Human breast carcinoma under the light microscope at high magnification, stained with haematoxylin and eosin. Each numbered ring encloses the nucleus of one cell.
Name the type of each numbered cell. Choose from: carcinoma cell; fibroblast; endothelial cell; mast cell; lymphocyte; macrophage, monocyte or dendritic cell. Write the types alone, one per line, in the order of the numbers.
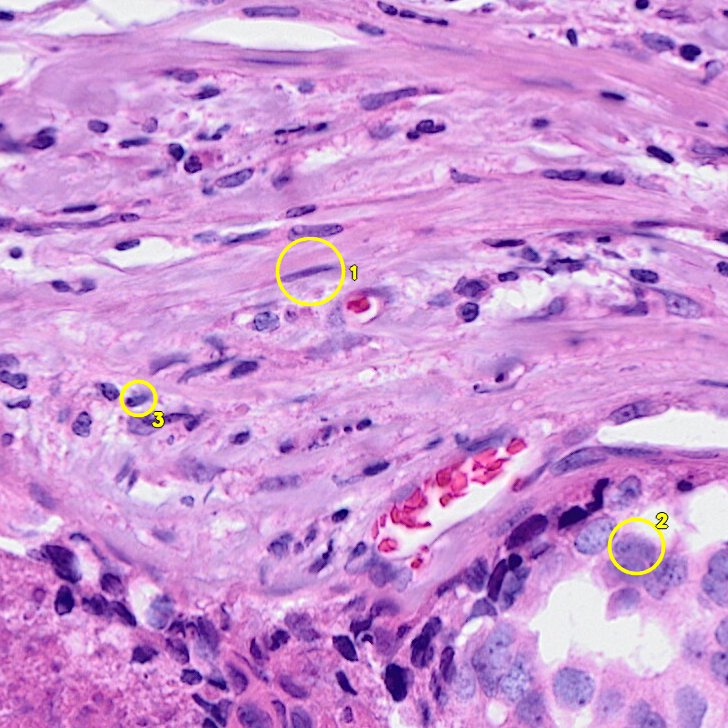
fibroblast
carcinoma cell
lymphocyte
